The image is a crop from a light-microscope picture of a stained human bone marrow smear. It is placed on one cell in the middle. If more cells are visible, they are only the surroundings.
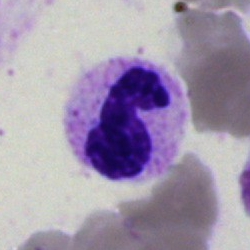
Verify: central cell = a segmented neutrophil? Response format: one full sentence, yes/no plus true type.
Yes, the cell centred in the field of view is a segmented neutrophil.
